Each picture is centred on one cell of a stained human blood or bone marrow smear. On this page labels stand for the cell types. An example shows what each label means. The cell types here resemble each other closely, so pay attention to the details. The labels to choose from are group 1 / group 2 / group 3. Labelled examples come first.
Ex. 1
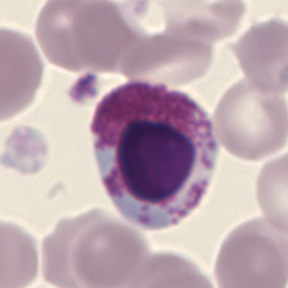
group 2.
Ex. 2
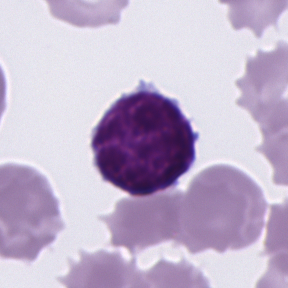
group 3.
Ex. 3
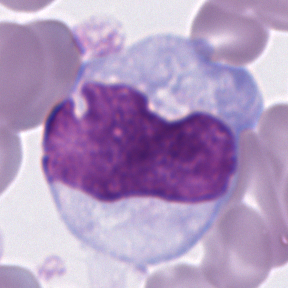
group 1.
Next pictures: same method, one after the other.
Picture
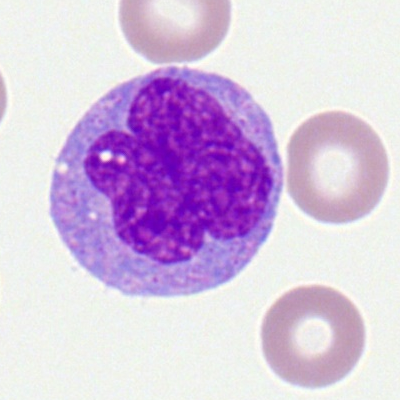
group 1.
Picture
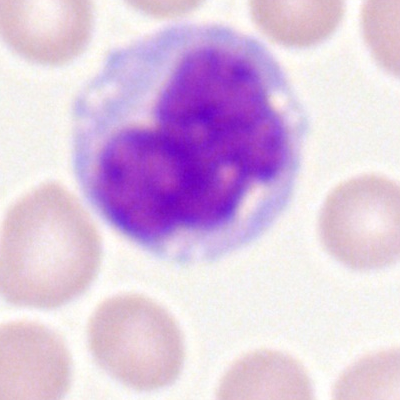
group 1.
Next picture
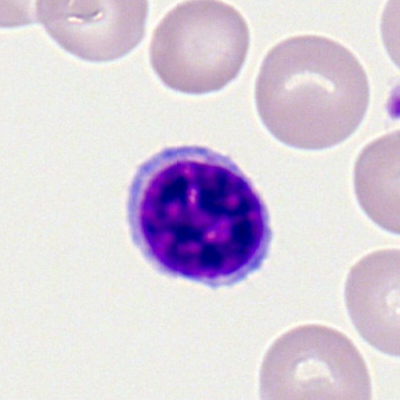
group 3.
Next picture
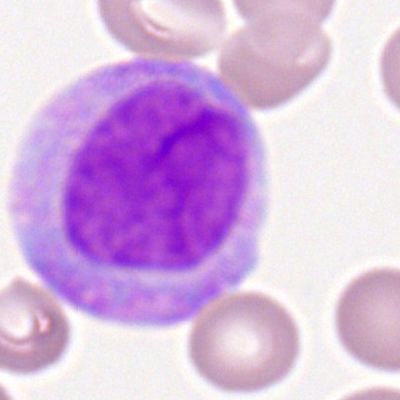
group 1.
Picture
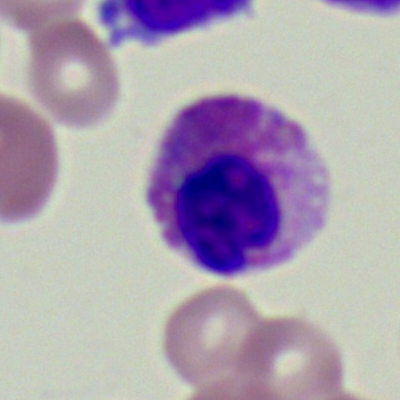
group 2.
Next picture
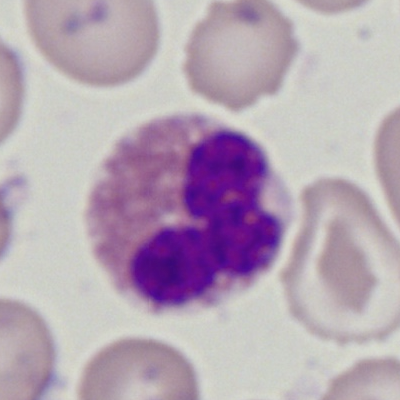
group 2.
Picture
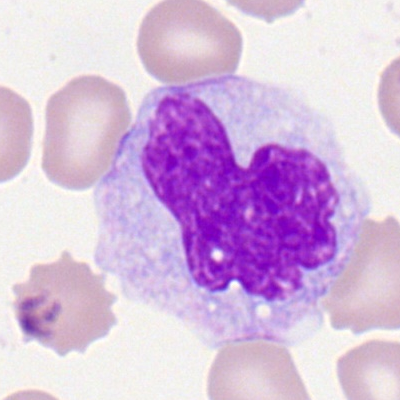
group 1.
